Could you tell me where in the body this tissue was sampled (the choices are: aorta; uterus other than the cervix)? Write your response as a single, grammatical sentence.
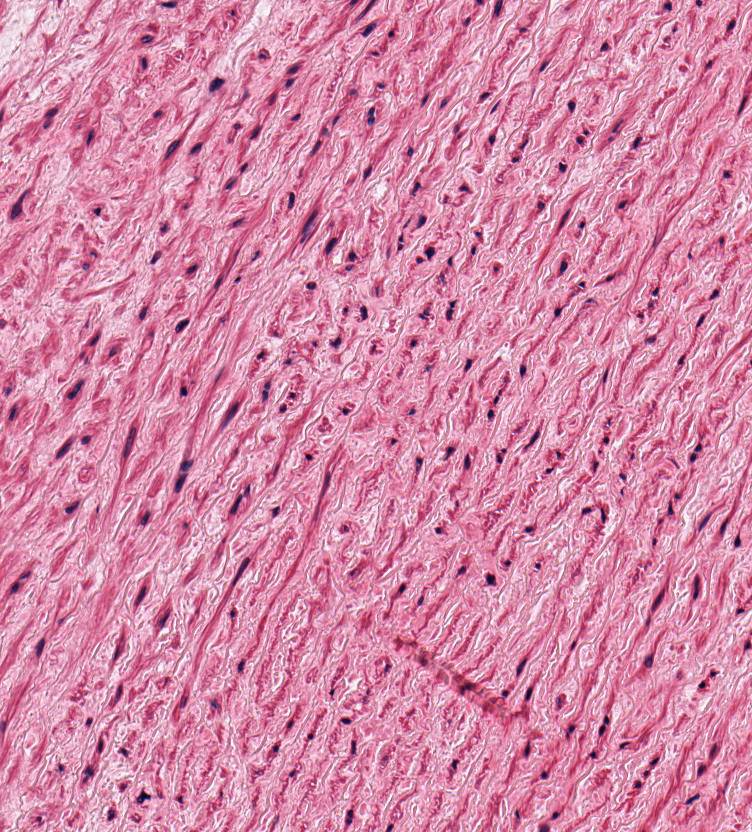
Obtained from the aorta, the tissue was sectioned for this slide.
